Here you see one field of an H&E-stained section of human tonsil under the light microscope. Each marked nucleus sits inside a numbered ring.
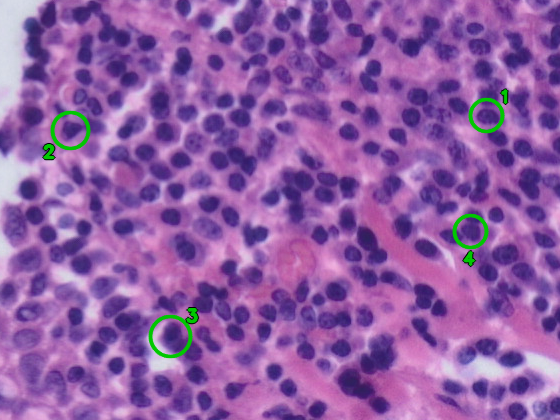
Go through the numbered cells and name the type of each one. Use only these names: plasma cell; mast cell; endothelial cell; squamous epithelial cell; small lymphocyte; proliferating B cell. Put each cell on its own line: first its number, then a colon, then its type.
1: plasma cell
2: plasma cell
3: squamous epithelial cell
4: plasma cell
